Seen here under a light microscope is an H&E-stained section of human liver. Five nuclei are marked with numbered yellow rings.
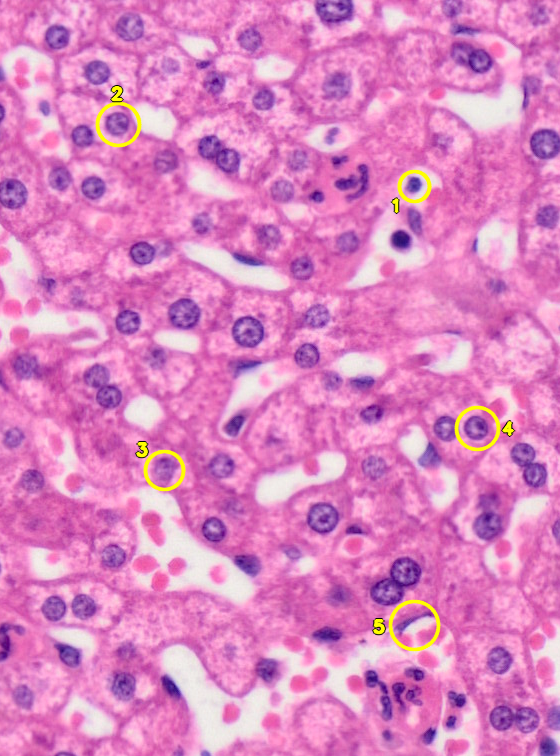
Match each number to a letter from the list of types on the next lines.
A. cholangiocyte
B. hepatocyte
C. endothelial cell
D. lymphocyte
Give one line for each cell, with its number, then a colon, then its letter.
1: D
2: B
3: B
4: B
5: C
